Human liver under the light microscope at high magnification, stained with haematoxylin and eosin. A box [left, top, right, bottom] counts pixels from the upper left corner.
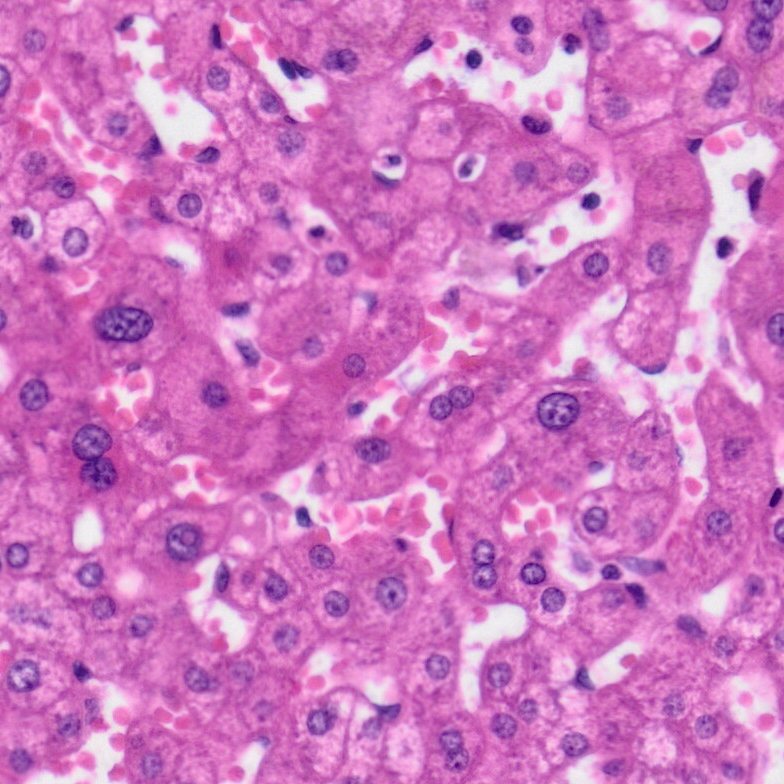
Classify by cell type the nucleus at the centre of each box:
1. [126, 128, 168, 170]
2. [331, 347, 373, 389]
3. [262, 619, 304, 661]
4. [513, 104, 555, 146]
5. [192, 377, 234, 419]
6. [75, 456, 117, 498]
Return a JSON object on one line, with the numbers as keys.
{"1": "fibroblast or stellate cell", "2": "hepatocyte", "3": "hepatocyte", "4": "Kupffer cell", "5": "hepatocyte", "6": "hepatocyte"}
